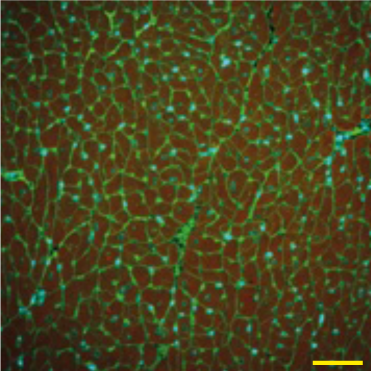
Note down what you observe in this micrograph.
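This is a section of heart muscle in which the muscle cells are cut across, so they appear as a tightly packed mosaic of small polygonal profiles. Blue nuclei are scattered through the field, many lying at or near the green borders between the profiles rather than in their centres. The profiles are of fairly uniform size and there are no large gaps between them. A few slightly thicker green strands run through the field where small vessels or connective tissue lie between the muscle cells.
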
